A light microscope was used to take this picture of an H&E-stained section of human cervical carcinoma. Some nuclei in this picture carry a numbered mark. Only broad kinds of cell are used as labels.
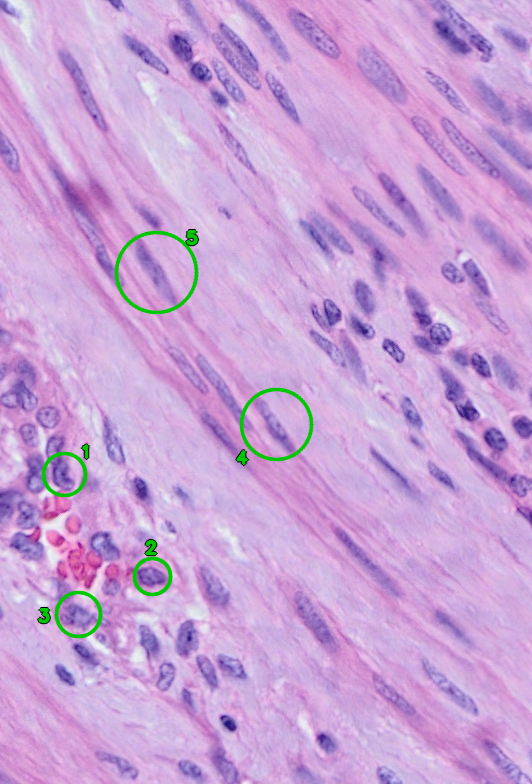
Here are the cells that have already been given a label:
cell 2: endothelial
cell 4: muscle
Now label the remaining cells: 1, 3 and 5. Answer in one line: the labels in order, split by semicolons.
endothelial; endothelial; muscle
